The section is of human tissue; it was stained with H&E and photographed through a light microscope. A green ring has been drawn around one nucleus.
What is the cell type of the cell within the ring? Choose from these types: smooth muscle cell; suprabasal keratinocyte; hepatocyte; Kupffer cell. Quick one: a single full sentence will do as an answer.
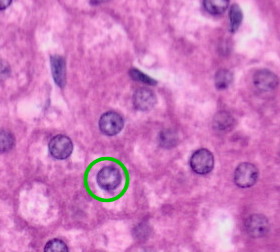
In this tissue section, the cell within the ring is to be classed as a hepatocyte.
